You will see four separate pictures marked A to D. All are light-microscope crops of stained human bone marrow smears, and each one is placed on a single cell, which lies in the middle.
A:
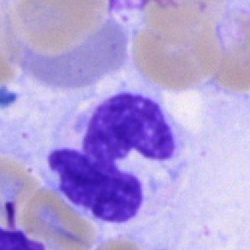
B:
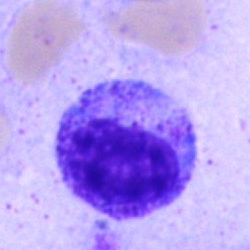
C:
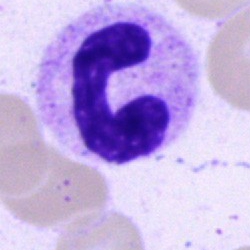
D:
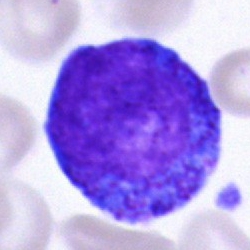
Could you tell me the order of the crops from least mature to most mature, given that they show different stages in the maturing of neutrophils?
D, B, C, A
